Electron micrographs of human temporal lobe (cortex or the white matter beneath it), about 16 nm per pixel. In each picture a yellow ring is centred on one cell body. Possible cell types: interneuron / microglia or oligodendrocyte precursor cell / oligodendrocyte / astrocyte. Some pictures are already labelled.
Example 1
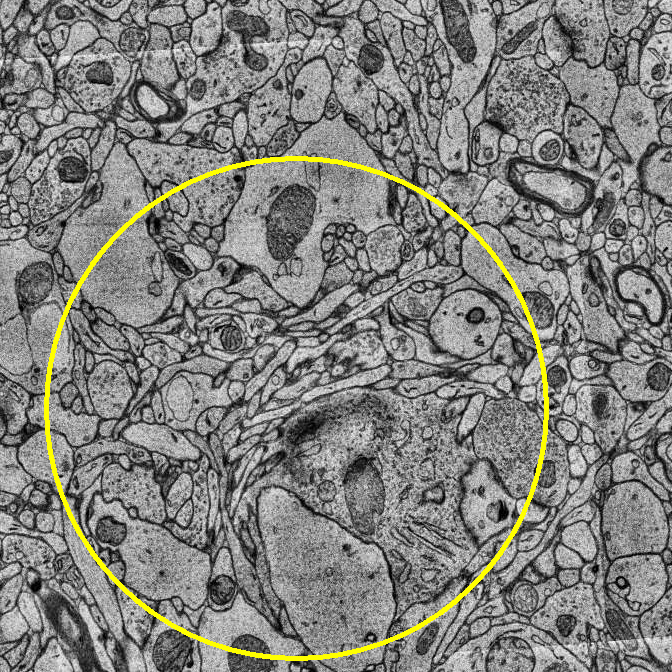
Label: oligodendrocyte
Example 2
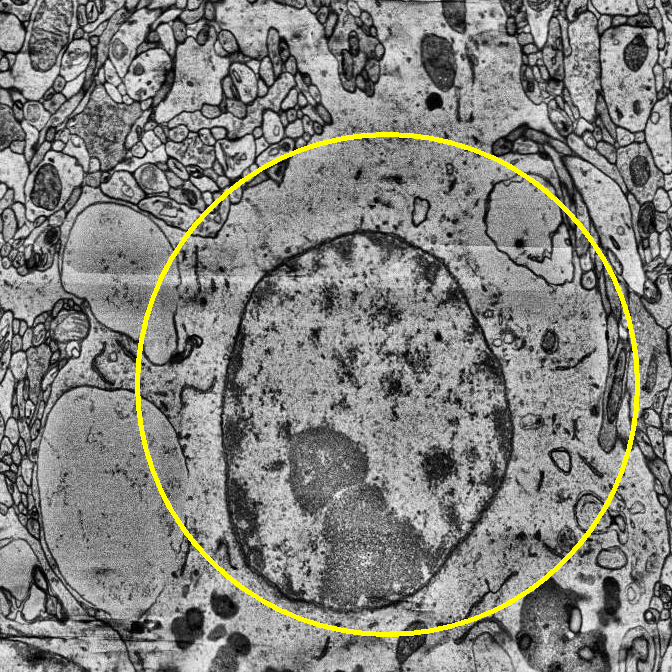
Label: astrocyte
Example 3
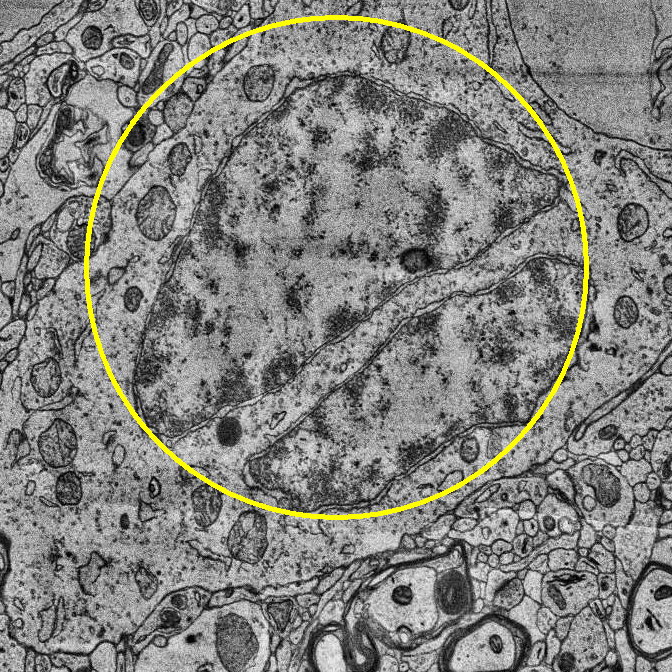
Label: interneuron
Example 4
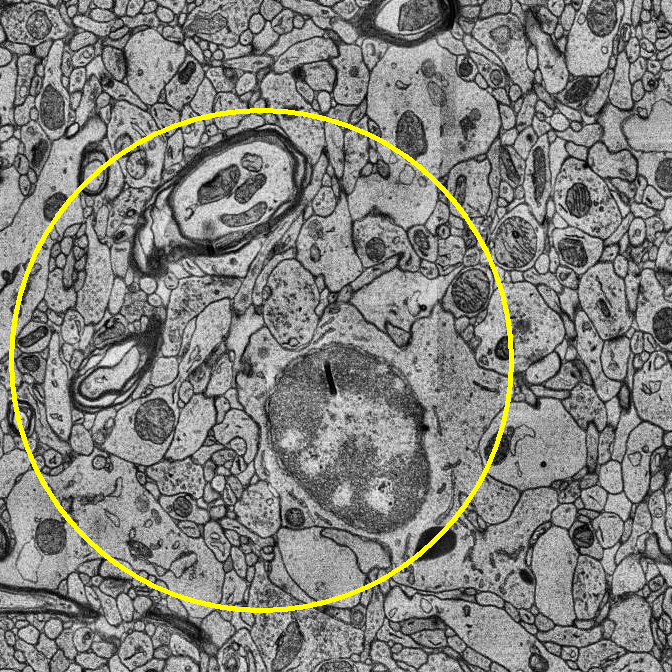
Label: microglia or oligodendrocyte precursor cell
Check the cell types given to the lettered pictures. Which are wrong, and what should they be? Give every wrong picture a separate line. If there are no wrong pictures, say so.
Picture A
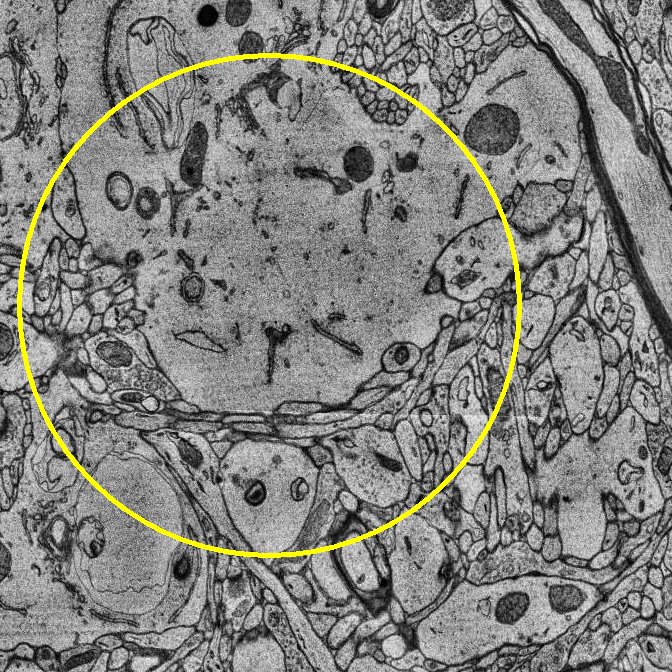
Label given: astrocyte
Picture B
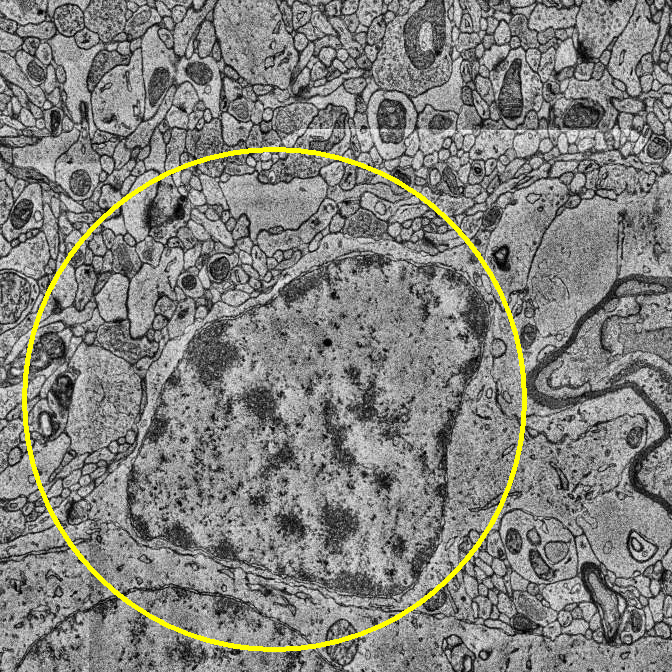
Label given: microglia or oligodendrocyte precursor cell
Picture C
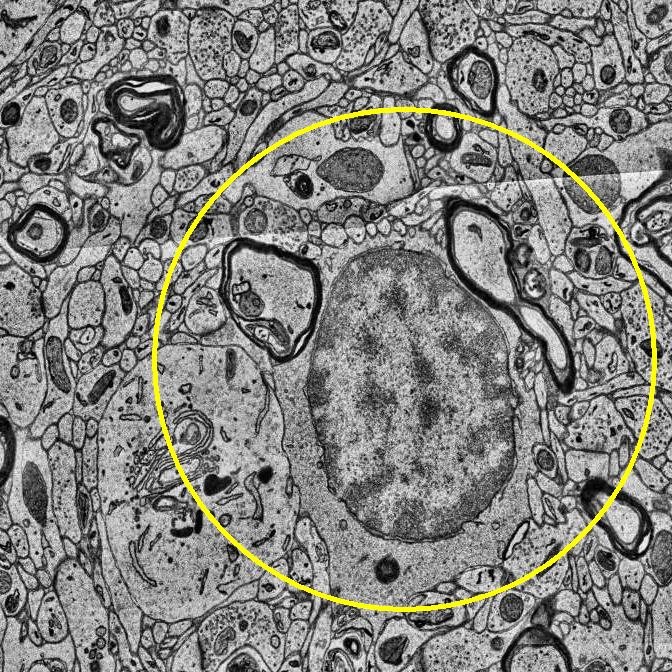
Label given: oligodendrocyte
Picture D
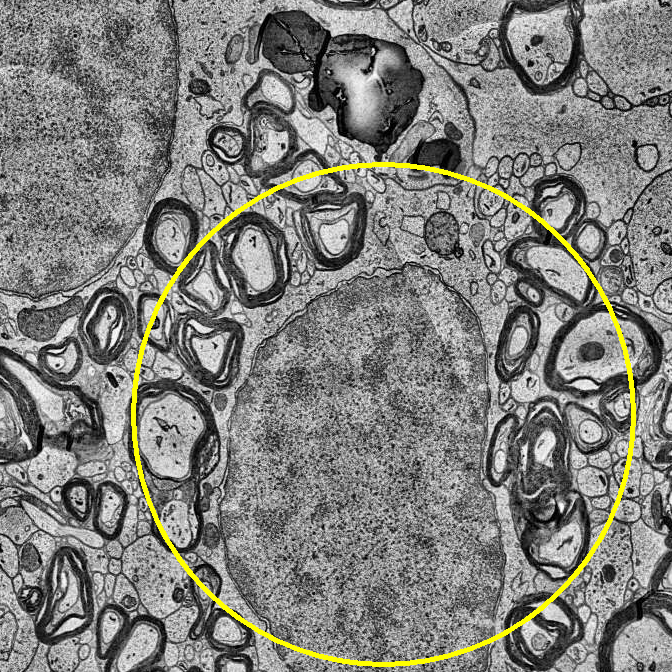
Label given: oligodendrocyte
None of the labels needs changing.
